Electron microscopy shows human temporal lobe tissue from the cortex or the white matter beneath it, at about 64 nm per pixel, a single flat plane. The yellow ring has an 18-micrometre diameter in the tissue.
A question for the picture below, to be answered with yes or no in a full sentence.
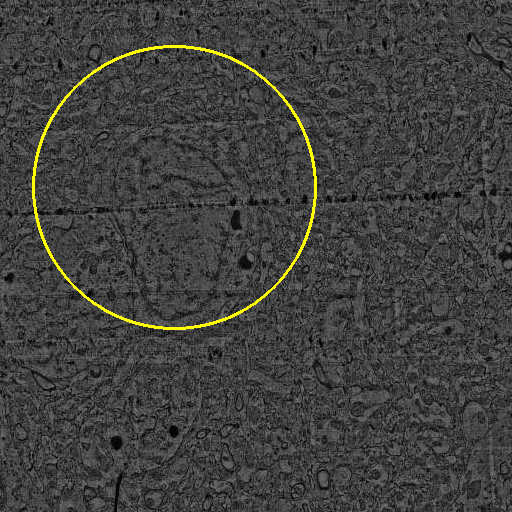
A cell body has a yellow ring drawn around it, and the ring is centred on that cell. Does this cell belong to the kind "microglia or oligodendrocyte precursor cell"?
No, the pictured cell at the ring's centre belongs to another kind.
